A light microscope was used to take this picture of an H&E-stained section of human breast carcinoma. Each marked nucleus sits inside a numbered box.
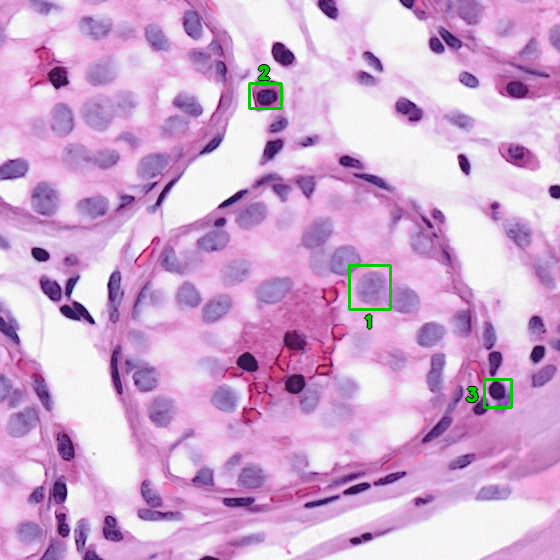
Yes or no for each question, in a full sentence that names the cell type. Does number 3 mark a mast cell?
No, cell 3 is a lymphocyte, not a mast cell.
